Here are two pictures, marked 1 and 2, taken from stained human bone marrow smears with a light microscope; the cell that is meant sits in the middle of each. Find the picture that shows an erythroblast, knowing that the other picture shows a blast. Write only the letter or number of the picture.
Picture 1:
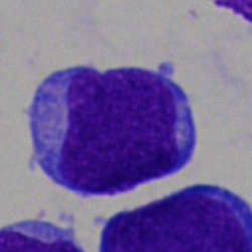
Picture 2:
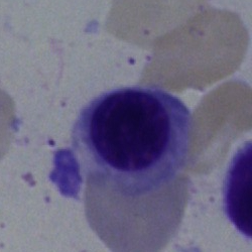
2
